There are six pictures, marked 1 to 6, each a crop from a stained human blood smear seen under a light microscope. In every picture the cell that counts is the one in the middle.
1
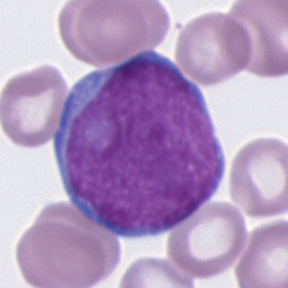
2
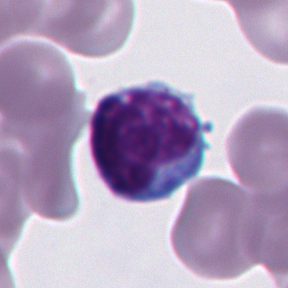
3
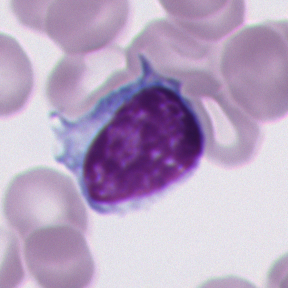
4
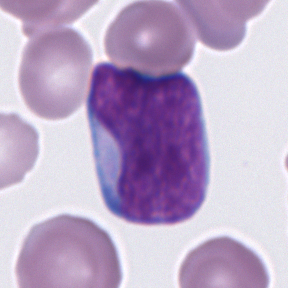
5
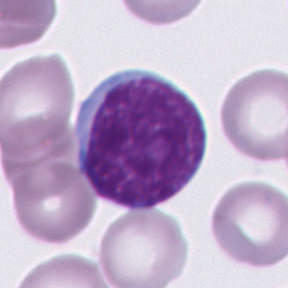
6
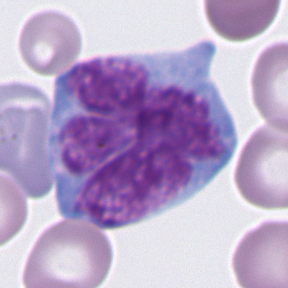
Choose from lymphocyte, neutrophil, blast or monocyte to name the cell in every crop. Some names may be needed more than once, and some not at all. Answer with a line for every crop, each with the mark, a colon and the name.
1: blast
2: lymphocyte
3: lymphocyte
4: blast
5: blast
6: monocyte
